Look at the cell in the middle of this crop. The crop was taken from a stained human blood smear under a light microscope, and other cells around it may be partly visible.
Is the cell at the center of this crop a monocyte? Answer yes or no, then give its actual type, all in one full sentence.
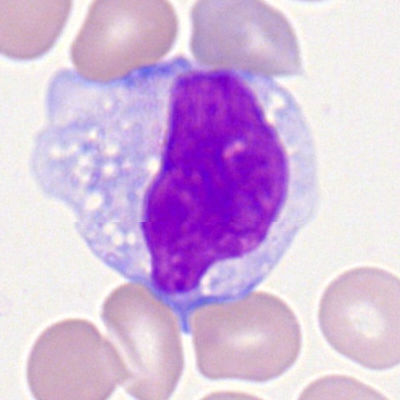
Yes, the middle cell is classified as a monocyte.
